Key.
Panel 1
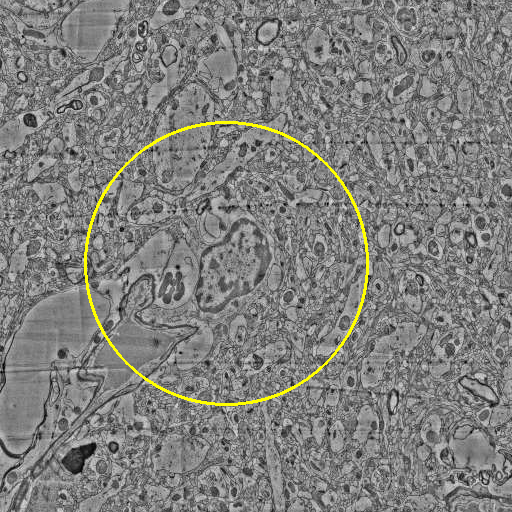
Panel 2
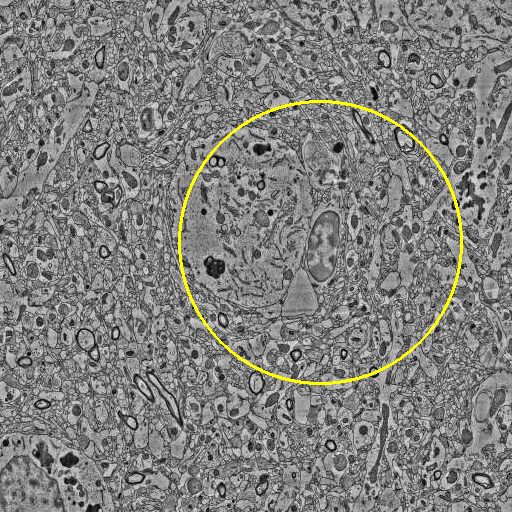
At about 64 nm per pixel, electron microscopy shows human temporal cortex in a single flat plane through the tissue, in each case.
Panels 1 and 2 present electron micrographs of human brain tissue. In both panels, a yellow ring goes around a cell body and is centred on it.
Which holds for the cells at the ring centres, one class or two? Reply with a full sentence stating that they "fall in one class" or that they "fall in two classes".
Taken together, the ring-centre cells of the two panels fall in one class.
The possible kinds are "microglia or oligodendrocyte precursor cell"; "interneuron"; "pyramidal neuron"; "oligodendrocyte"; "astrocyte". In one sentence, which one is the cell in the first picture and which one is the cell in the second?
Each cell at the centre of a ring is a microglial cell or oligodendrocyte precursor cell.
